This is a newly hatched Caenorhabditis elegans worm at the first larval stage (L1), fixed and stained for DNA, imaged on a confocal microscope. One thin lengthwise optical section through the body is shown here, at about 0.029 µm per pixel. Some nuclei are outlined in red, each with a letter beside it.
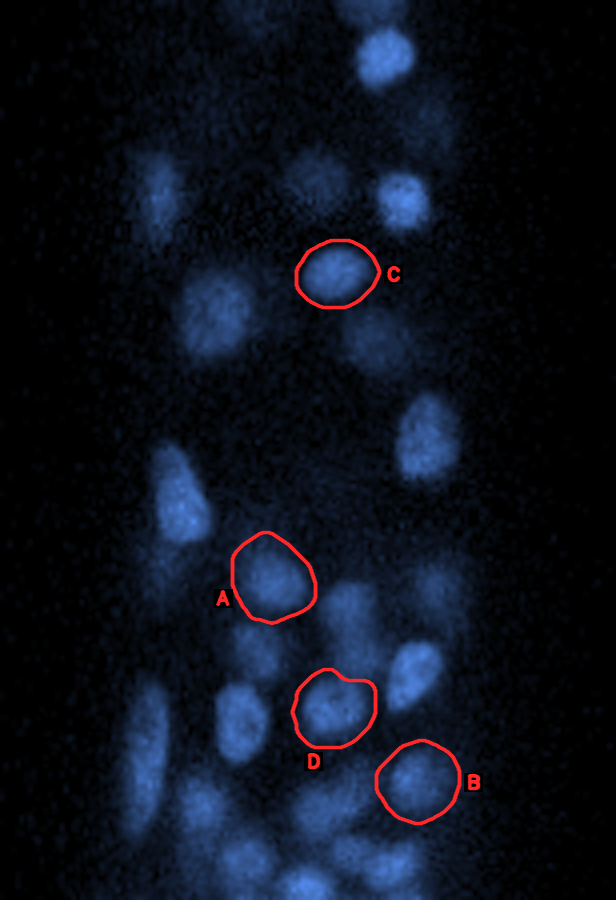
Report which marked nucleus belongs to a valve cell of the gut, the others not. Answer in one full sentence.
A is the nucleus of a valve cell of the gut.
